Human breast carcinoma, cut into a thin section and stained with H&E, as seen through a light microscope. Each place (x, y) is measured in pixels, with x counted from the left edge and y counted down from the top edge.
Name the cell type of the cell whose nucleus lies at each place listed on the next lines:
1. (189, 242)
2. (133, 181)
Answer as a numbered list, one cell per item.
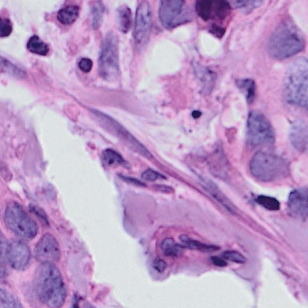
1. endothelial cell
2. fibroblast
